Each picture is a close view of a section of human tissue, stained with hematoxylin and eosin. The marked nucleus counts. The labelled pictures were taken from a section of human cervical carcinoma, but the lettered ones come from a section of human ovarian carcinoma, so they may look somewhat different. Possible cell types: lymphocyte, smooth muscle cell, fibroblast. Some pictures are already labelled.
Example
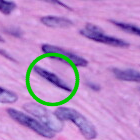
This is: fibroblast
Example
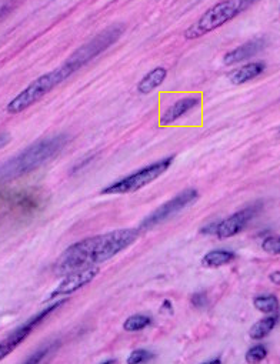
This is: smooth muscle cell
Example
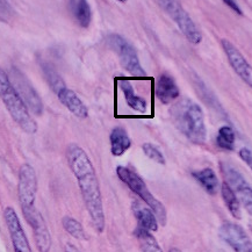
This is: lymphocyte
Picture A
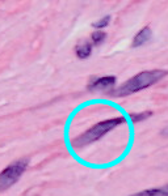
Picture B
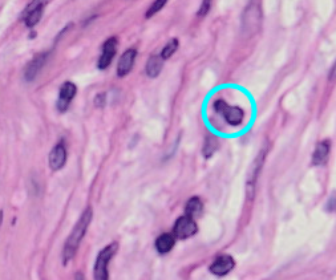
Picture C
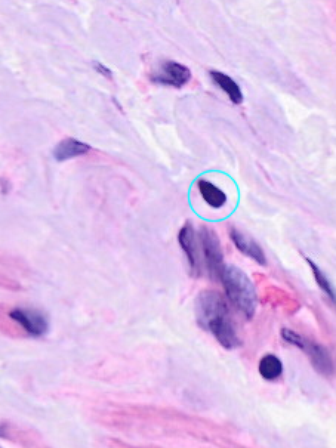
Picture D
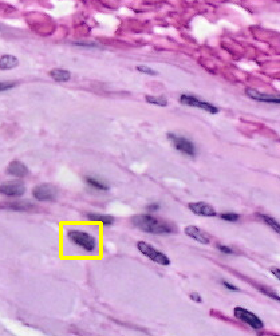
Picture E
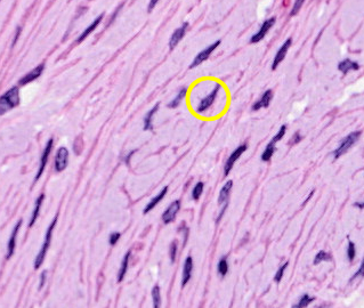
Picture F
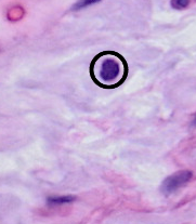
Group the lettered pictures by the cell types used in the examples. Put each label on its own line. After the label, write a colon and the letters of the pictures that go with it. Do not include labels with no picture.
lymphocyte: B, C, D, F
smooth muscle cell: A
fibroblast: E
